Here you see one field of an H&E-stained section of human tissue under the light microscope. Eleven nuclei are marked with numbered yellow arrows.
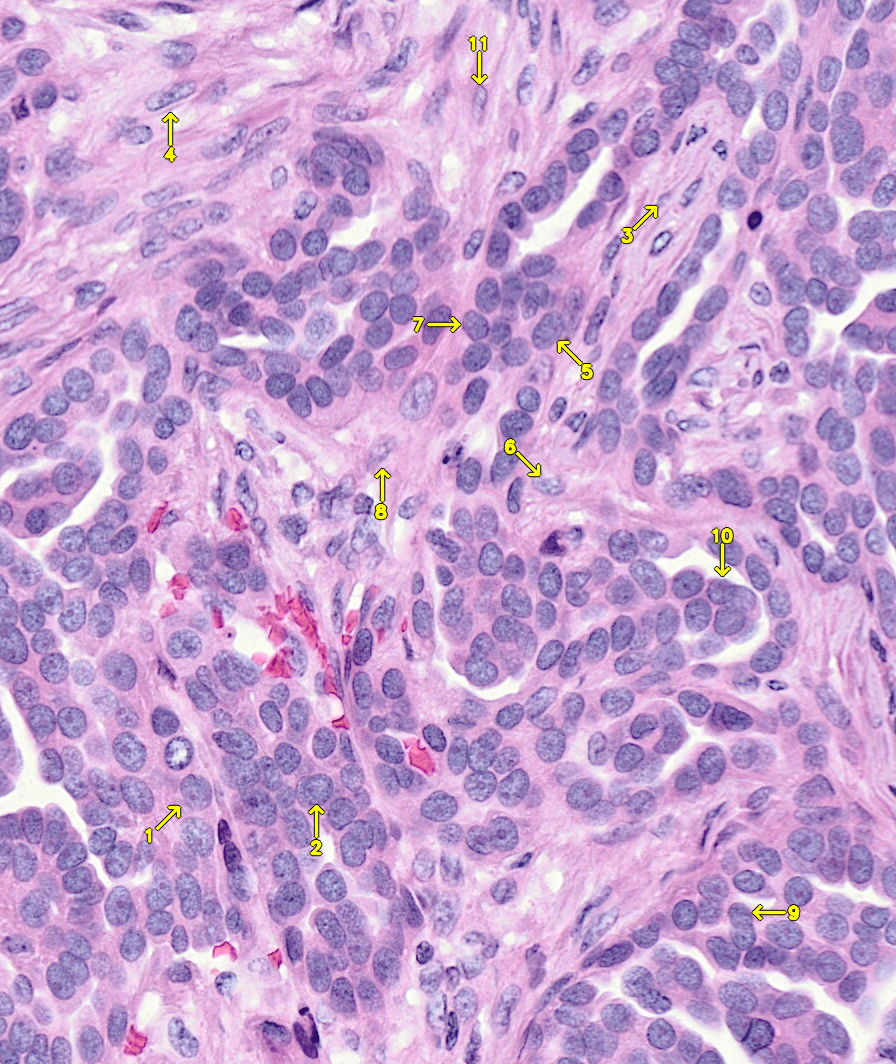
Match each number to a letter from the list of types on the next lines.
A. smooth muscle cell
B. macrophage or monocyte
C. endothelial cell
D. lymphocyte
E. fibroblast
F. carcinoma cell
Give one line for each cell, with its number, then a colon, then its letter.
1: F
2: F
3: E
4: E
5: F
6: E
7: F
8: E
9: F
10: F
11: E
